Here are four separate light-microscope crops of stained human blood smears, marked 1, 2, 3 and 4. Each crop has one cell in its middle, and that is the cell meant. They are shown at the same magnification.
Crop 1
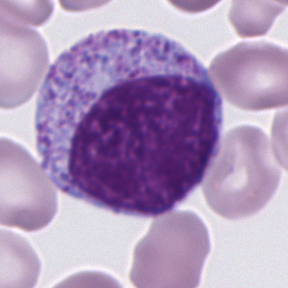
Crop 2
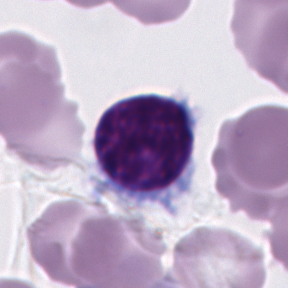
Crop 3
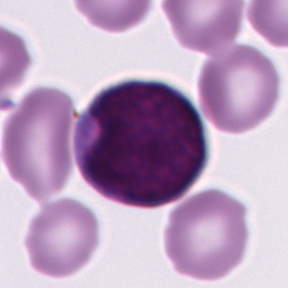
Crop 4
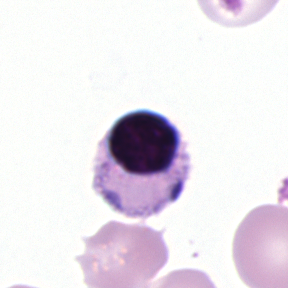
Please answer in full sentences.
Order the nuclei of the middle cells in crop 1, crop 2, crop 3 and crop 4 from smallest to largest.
Smallest first: 4, 2, 3, 1.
